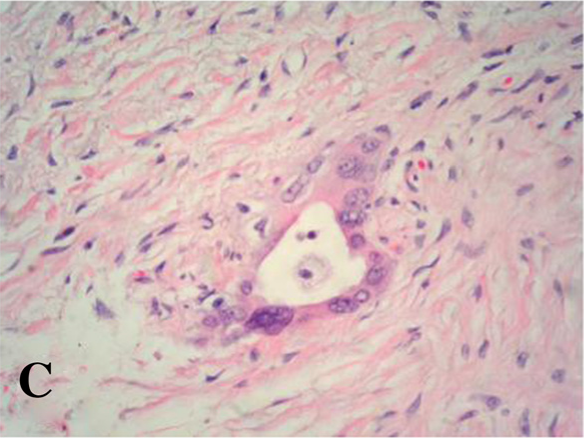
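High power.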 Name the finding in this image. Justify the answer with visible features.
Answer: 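Irregular epithelium. A single duct in the centre is lined by cells of unequal height and size. One lining cell has a large dark purple nucleus. Nuclei of the lining cells vary in size and chromatin pattern.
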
